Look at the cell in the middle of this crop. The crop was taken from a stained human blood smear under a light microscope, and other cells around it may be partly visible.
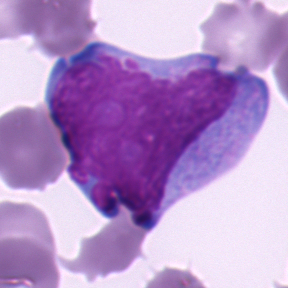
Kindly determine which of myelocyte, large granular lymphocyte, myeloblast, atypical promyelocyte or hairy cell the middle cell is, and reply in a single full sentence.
Within this crop, a myeloblast occupies the central position.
